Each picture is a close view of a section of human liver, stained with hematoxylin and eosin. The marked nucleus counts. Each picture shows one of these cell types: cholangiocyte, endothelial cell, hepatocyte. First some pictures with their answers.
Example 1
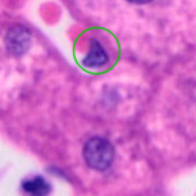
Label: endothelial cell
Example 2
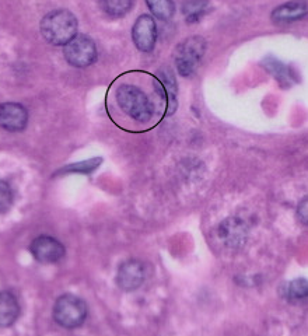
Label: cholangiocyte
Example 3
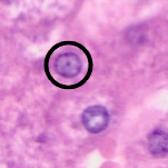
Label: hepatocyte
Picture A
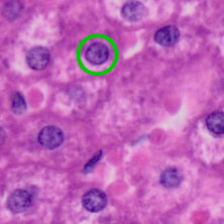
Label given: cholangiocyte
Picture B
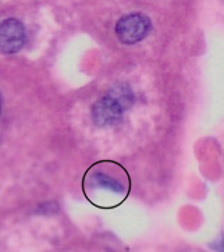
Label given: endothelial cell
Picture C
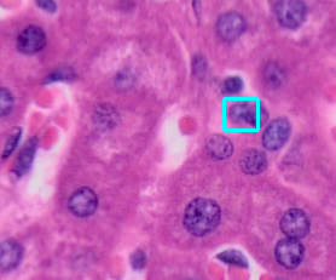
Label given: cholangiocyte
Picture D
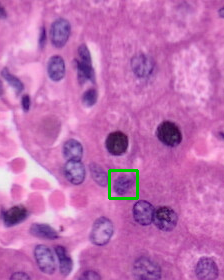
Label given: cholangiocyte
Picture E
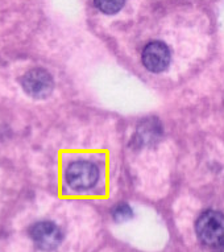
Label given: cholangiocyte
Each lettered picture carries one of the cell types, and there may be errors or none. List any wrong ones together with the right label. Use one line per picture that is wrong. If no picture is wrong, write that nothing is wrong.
A: not cholangiocyte but hepatocyte
E: not cholangiocyte but hepatocyte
